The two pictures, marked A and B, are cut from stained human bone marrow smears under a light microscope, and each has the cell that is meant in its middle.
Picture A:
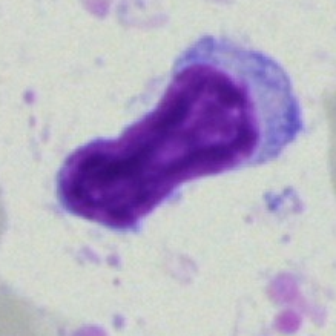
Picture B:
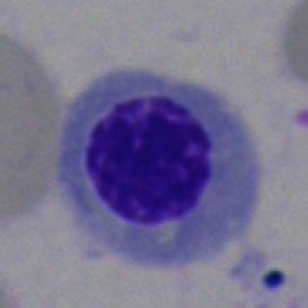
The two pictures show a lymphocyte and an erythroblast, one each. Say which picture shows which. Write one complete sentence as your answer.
Picture B shows an erythroblast, while picture A shows a lymphocyte.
